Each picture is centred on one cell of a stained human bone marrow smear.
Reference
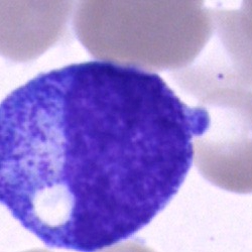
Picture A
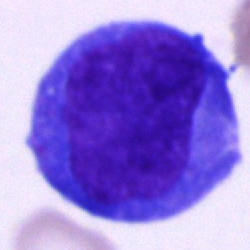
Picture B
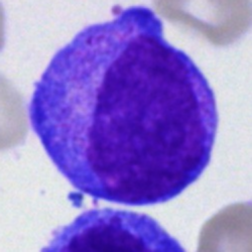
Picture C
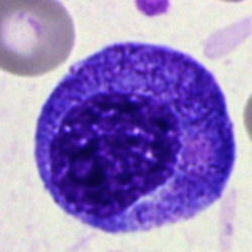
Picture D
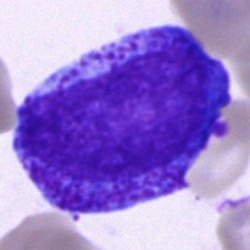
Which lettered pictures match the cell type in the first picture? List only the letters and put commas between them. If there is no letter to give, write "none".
B, C, D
